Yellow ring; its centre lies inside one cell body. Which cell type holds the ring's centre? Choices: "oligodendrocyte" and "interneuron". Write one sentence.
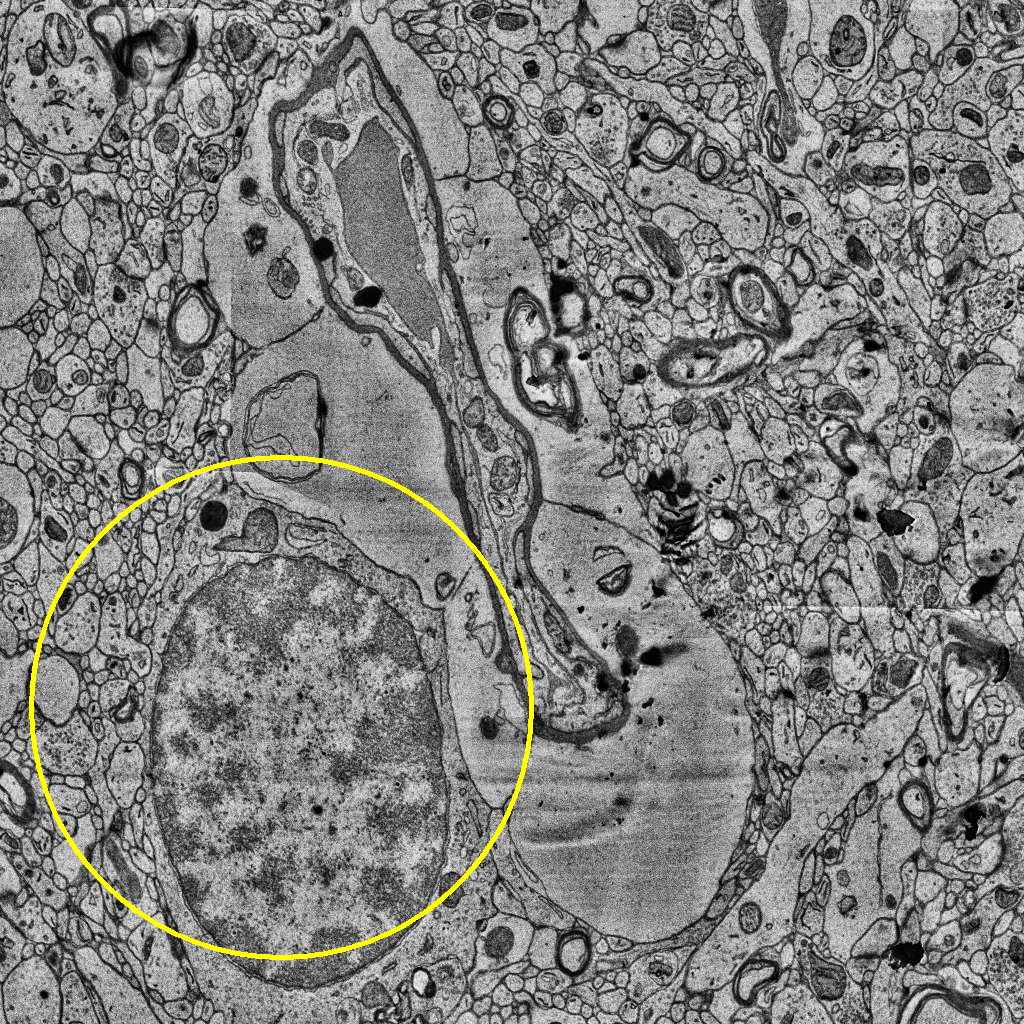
At the centre of the ring sits an oligodendrocyte.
